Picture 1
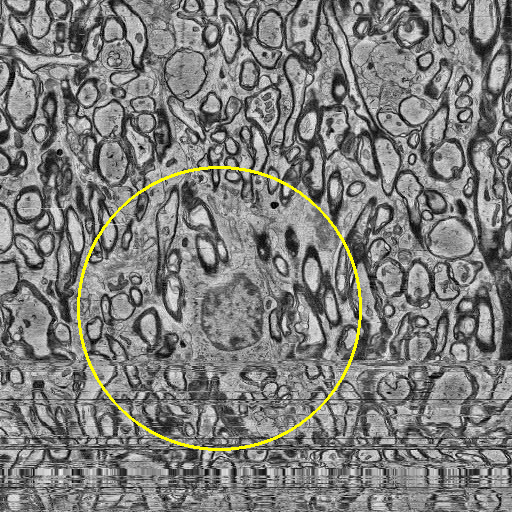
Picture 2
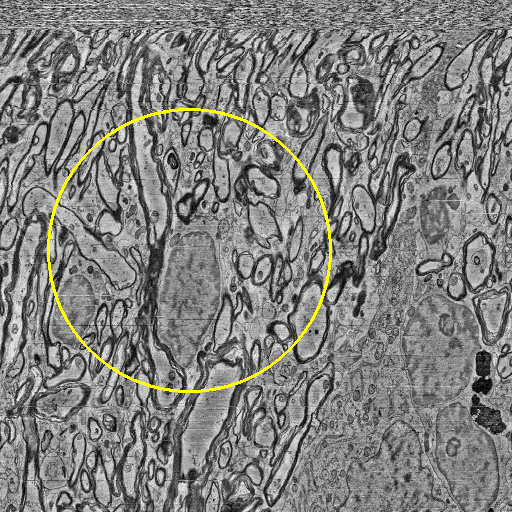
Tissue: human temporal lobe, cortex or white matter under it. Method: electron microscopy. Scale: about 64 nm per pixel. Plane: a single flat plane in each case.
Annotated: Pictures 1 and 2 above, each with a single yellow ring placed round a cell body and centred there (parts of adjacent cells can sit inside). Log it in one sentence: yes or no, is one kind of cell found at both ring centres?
No, the ring centres of the two pictures hold cells of two kinds.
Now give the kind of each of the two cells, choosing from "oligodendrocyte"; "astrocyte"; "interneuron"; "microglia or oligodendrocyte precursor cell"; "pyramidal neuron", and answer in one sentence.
The cell in the first picture is a microglial cell or oligodendrocyte precursor cell, and the cell in the second is an oligodendrocyte.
